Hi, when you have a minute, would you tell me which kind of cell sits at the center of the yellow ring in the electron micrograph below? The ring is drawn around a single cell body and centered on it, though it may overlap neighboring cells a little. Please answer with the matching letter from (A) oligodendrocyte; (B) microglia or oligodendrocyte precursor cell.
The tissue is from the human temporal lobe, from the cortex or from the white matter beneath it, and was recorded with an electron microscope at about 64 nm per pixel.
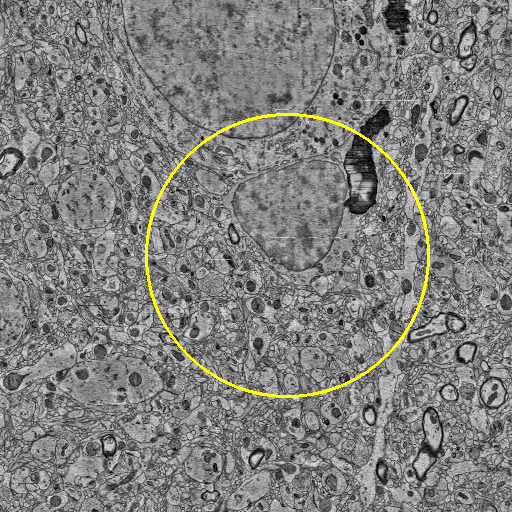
A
